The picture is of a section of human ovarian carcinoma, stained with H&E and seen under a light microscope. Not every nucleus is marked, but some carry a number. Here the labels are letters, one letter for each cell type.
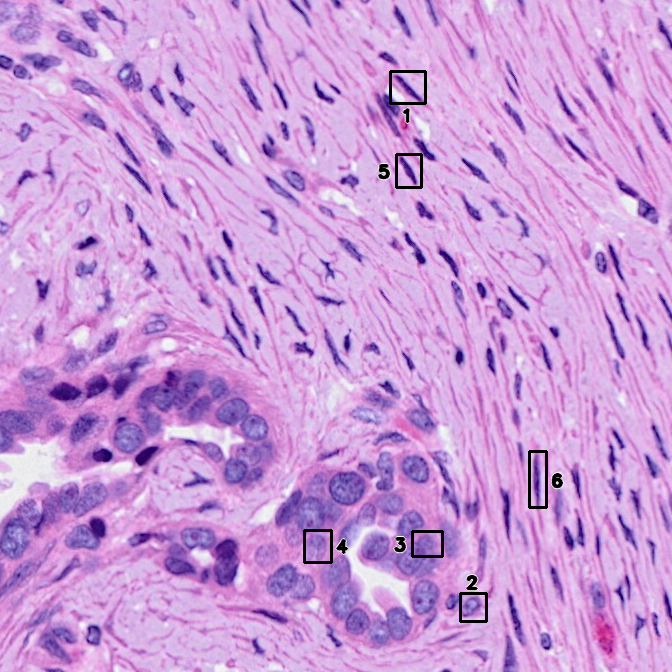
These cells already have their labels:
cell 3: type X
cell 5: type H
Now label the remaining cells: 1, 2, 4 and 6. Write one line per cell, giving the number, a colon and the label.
1: type H
2: type H
4: type X
6: type H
